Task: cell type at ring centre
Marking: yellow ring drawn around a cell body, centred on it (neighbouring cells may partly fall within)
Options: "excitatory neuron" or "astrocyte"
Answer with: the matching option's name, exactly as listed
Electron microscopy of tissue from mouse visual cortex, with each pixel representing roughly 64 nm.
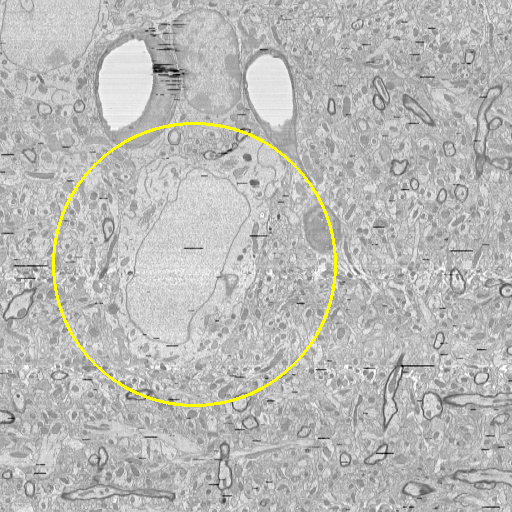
excitatory neuron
